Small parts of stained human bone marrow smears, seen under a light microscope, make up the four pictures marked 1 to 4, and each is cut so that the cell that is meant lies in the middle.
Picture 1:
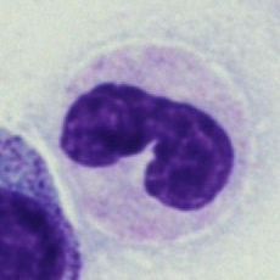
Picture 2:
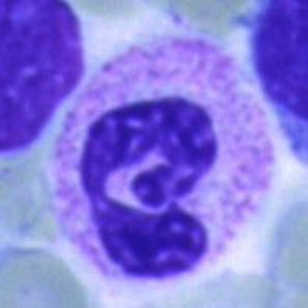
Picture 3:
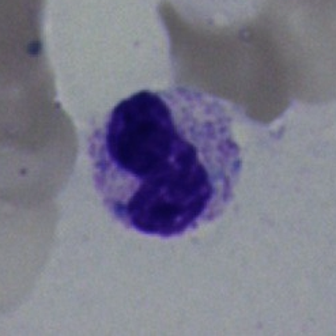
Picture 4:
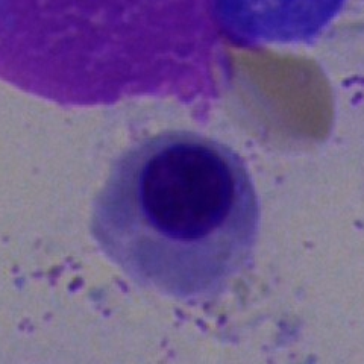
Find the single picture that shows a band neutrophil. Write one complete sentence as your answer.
The picture with the band neutrophil is 1.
